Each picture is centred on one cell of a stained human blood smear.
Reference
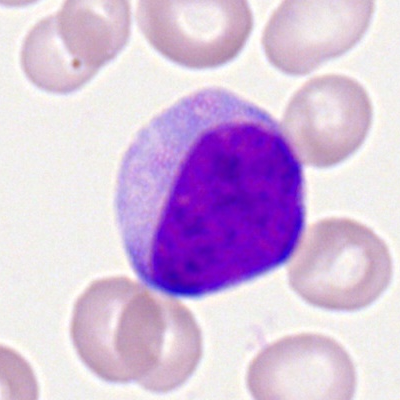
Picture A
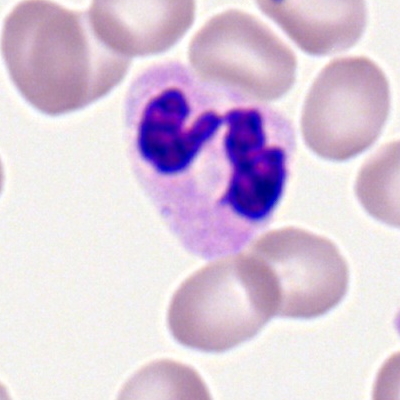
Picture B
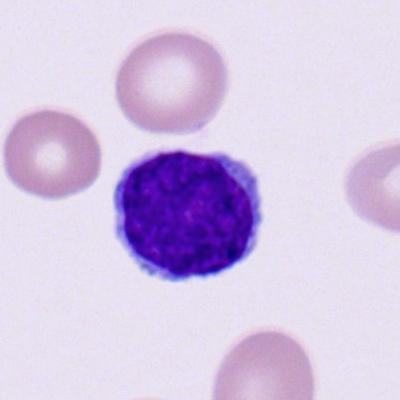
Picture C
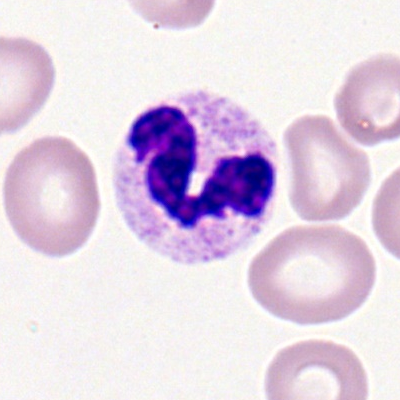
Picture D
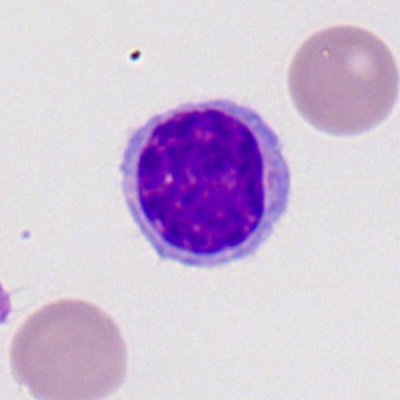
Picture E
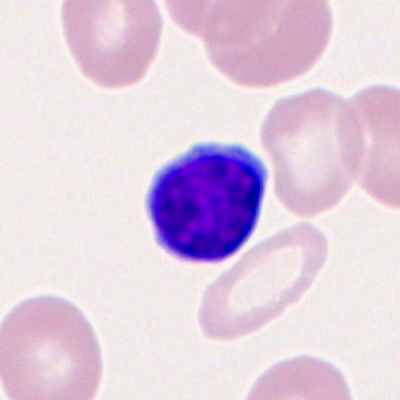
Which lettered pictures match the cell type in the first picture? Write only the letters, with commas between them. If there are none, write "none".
none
